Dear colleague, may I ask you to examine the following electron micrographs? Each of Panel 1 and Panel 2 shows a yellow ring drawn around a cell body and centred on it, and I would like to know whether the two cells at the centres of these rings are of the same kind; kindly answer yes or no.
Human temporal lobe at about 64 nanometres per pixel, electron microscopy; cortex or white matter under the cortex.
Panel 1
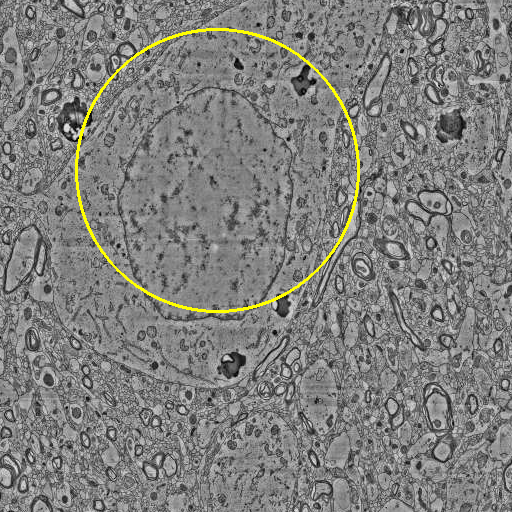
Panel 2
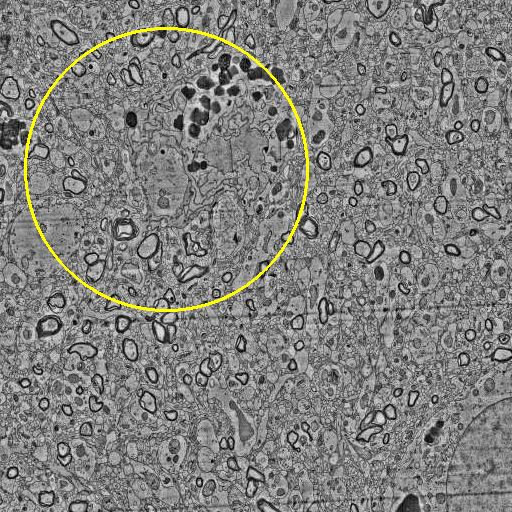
no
